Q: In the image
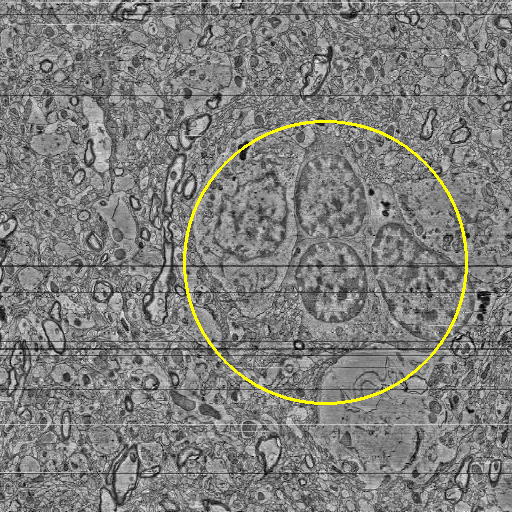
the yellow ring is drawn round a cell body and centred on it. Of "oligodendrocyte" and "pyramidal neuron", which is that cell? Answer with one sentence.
The cell centred in the ring is an oligodendrocyte.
